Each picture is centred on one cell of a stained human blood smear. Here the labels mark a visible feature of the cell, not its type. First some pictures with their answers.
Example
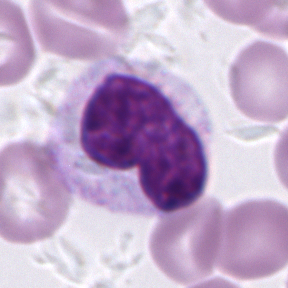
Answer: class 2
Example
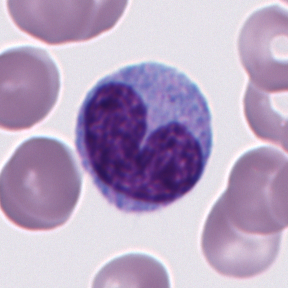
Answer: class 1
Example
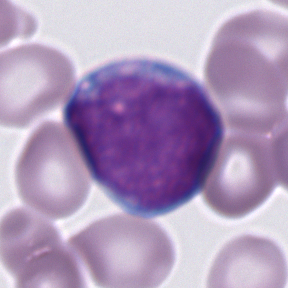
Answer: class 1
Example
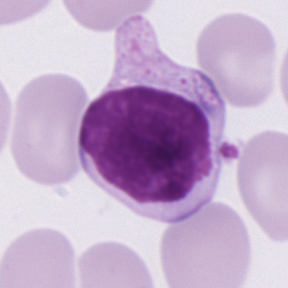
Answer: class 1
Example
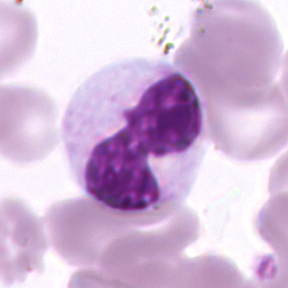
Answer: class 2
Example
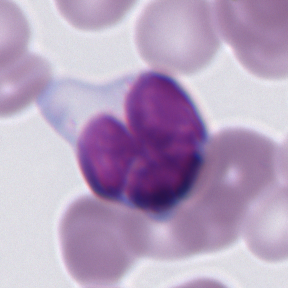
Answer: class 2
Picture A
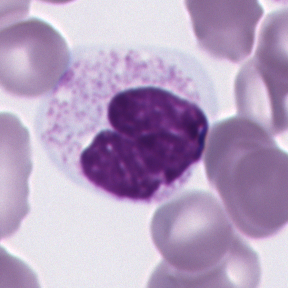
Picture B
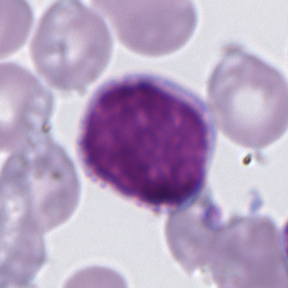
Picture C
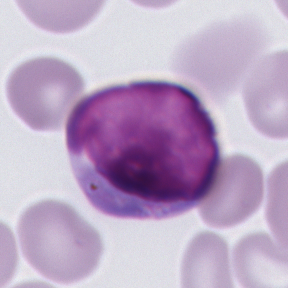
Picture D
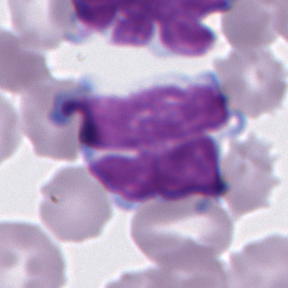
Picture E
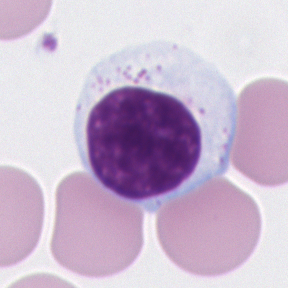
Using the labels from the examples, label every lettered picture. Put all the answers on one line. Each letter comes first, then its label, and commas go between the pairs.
A class 2, B class 1, C class 1, D class 2, E class 1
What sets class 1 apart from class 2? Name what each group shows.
class 1, single compact nucleus; class 2, lobed nucleus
